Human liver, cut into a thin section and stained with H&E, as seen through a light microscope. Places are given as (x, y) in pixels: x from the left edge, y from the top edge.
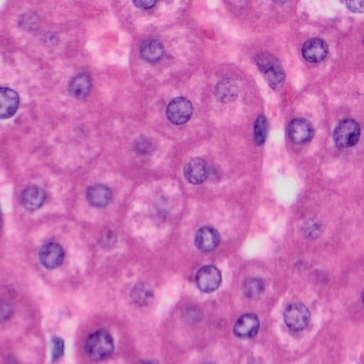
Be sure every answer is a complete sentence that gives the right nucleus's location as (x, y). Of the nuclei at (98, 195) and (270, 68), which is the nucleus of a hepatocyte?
It is the nucleus at (98, 195) that forms part of a hepatocyte.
